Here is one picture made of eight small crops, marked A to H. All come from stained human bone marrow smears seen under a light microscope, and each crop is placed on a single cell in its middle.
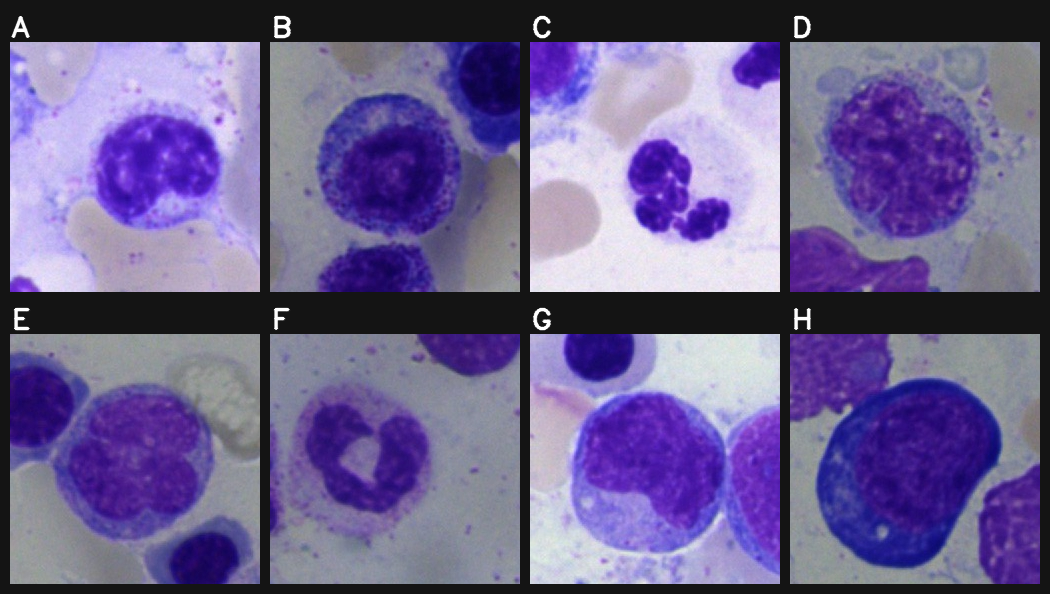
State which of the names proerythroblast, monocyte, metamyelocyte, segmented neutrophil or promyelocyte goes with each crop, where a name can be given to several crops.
A: metamyelocyte
B: promyelocyte
C: segmented neutrophil
D: monocyte
E: monocyte
F: segmented neutrophil
G: monocyte
H: proerythroblast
